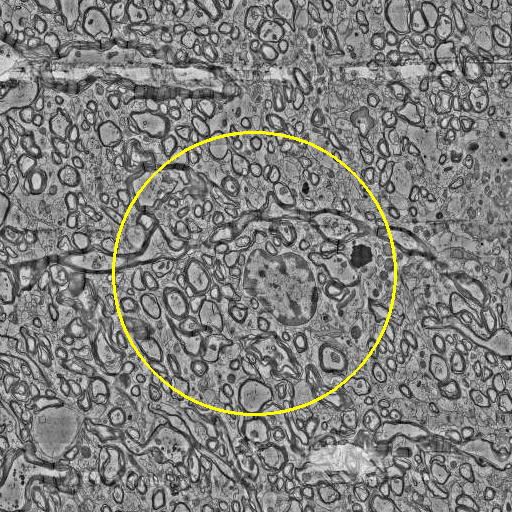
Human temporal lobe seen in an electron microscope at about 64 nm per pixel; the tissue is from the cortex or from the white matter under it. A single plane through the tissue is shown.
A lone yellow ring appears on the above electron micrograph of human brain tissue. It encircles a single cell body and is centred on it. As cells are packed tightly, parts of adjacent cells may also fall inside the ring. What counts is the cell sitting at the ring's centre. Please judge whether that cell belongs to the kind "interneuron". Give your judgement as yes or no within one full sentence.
No, the cell lying at the centre of the ring in the picture belongs to another kind.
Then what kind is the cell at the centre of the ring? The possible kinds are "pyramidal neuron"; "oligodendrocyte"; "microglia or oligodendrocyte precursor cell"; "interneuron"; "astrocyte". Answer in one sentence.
The cell in the ring is a microglial cell or oligodendrocyte precursor cell instead.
